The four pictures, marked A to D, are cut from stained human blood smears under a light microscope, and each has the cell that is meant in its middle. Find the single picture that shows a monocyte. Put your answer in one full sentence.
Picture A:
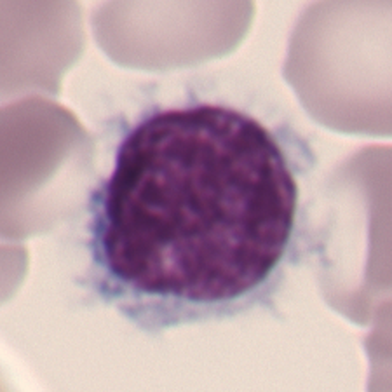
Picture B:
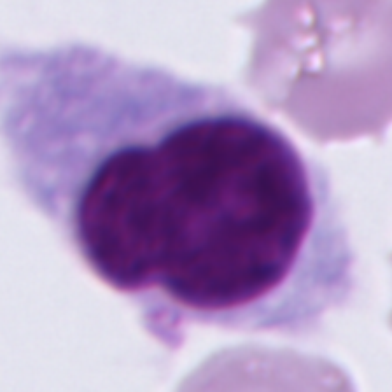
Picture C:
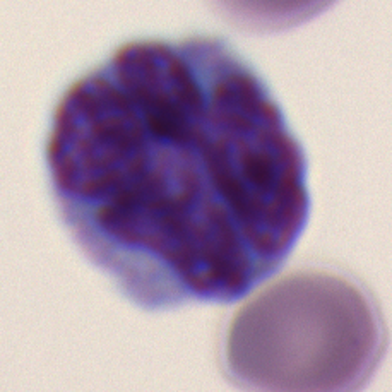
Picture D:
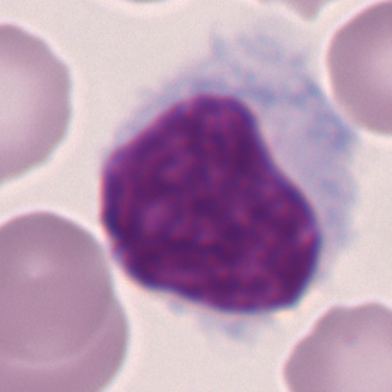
Picture C is the one that shows the monocyte.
